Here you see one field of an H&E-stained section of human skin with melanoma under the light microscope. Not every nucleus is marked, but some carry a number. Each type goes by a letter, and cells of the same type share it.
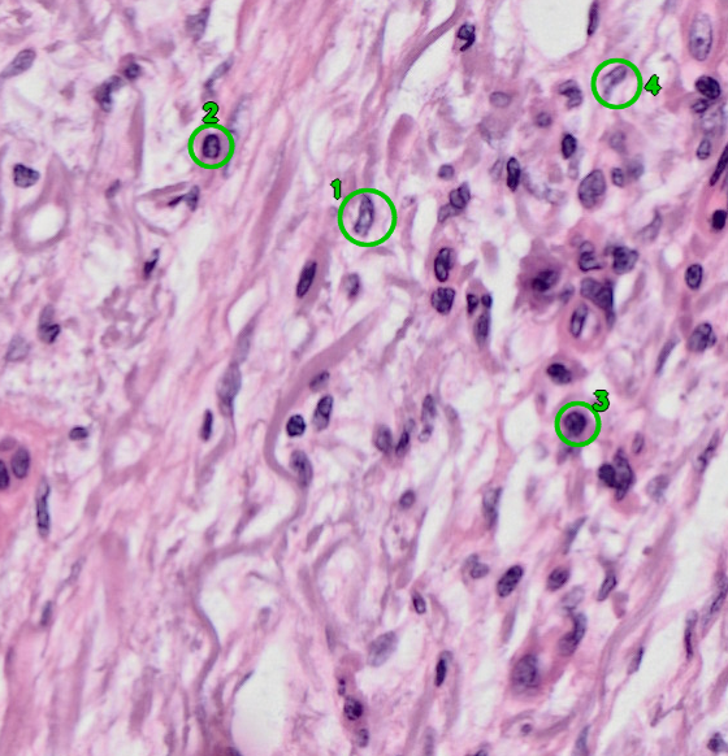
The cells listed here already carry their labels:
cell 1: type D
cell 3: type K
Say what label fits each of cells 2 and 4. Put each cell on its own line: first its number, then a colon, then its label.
2: type K
4: type D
